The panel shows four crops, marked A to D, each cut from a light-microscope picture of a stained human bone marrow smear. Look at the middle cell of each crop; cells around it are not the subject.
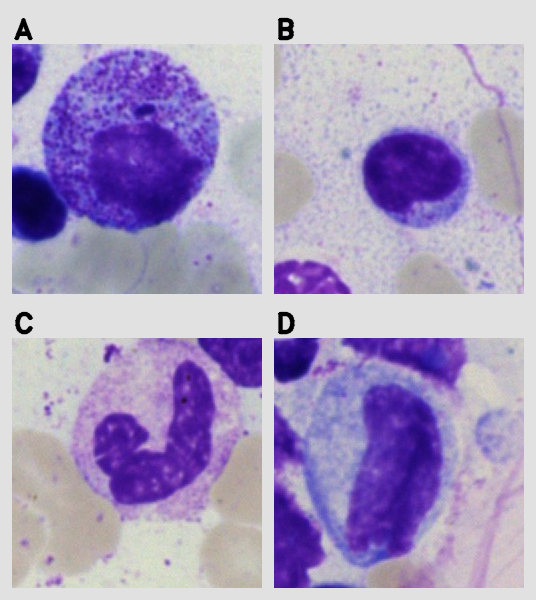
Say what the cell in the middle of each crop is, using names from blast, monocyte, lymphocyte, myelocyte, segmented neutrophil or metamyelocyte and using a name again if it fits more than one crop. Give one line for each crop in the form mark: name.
A: myelocyte
B: lymphocyte
C: segmented neutrophil
D: metamyelocyte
